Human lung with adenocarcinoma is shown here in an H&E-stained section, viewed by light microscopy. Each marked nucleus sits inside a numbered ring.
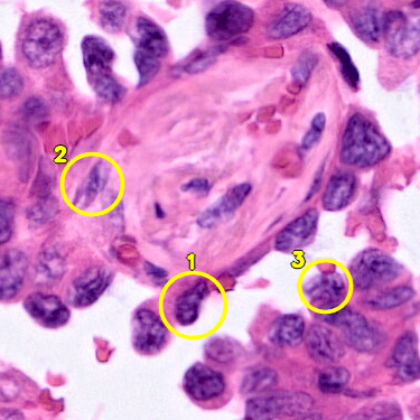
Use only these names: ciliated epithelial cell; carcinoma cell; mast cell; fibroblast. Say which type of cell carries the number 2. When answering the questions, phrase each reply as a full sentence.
In this section, the cell numbered 2 is a fibroblast.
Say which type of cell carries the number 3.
Within this field of view, the cell labelled 3 is a carcinoma cell.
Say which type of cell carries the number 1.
The cell assigned the number 1 is a carcinoma cell.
